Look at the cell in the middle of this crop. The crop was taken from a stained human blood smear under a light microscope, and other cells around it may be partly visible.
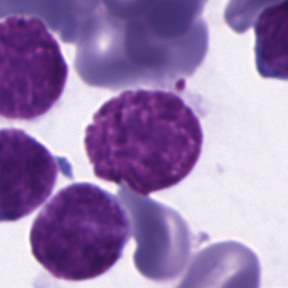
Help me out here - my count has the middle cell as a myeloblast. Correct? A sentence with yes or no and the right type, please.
Yes, the cell in the middle of the crop is a myeloblast.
